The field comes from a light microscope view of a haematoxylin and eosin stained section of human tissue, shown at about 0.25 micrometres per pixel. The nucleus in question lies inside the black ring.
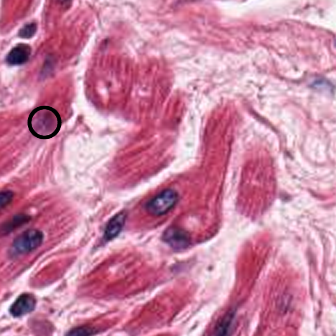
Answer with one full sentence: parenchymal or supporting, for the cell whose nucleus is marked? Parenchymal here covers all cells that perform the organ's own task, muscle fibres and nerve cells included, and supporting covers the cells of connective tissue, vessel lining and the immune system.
What the marked nucleus belongs to is a parenchymal cell, namely a cardiomyocyte.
